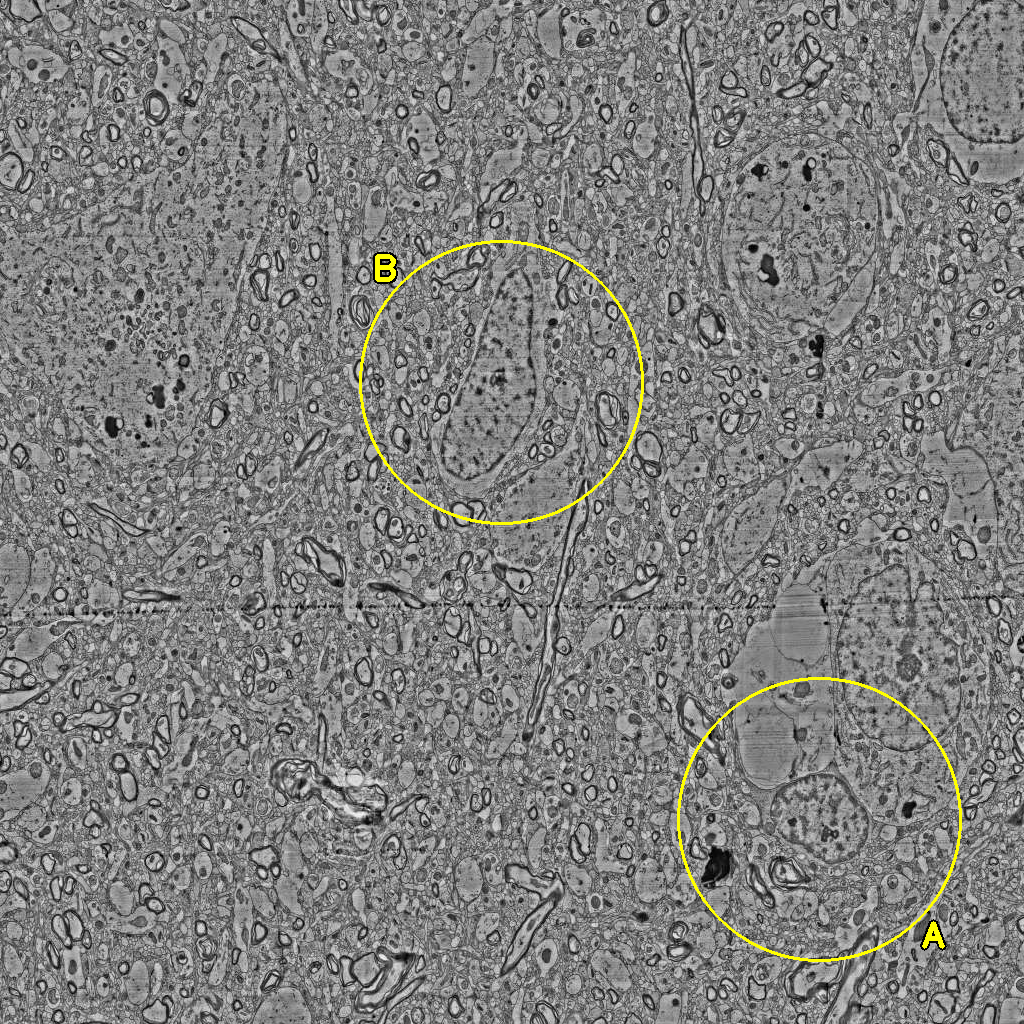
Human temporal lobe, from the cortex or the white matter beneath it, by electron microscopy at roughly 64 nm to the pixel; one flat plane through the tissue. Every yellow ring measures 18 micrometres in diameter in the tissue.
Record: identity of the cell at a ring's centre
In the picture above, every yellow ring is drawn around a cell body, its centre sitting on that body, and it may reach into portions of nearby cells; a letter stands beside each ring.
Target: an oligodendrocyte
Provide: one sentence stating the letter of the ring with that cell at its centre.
The letter of the ring centred on a cell of that kind is A.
